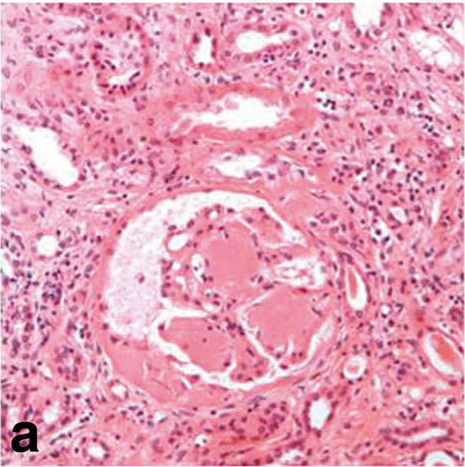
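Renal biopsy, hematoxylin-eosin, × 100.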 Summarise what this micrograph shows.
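This is kidney cortex with a glomerulus in the centre, surrounded by tubules and interstitium. Much of the glomerular tuft is replaced by smooth, pale-pink, amorphous material that contains few nuclei. The glomerulus sits within a pale Bowman's space, and the surrounding tubules are lined by cuboidal cells with a cellular interstitium between them.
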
